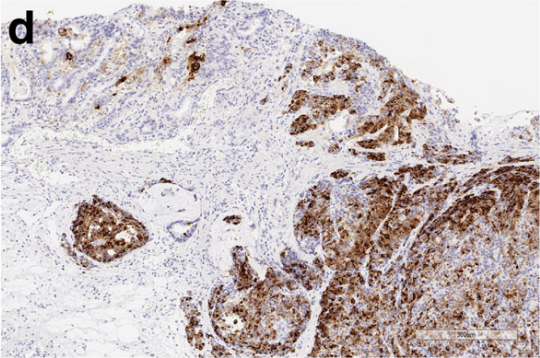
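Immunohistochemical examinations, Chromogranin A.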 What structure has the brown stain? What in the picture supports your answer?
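Brown stain lies in the large solid sheets at lower right and a rounded nest at left. Tubular and glandular structures in the upper left stay mostly blue. The answer: solid component.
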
